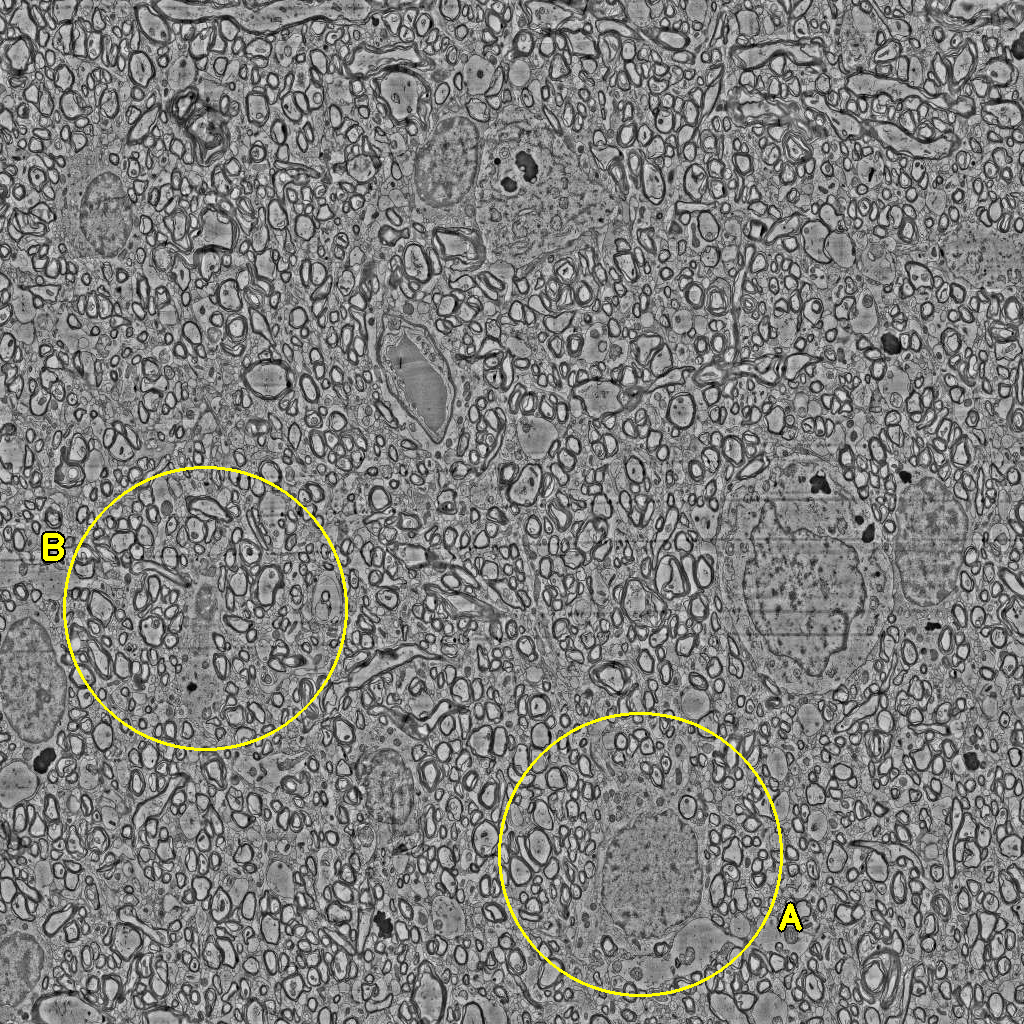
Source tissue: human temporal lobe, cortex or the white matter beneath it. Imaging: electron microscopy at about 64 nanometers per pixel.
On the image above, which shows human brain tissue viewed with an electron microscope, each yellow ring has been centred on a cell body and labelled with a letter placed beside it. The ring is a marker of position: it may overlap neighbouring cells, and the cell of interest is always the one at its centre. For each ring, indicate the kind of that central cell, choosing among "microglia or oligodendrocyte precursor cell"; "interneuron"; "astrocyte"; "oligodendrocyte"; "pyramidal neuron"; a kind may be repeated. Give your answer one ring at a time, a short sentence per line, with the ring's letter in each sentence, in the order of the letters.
Ring A shows an astrocyte at its centre.
Ring B shows an oligodendrocyte at its centre.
